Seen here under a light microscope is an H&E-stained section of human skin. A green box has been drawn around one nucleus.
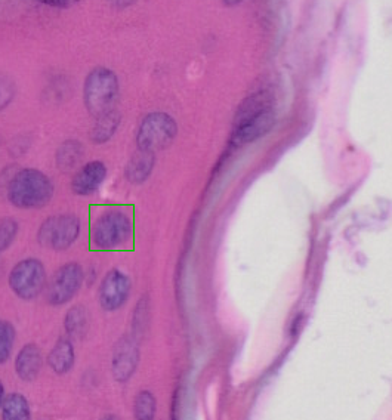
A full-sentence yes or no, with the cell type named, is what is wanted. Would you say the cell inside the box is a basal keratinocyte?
No, in this section the cell inside the box is a suprabasal keratinocyte and not a basal keratinocyte.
